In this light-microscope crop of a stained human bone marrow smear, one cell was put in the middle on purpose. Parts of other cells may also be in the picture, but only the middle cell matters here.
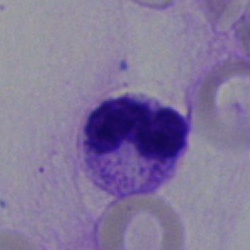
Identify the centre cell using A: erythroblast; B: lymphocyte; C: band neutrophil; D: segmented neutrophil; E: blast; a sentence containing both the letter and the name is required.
The best answer is option D, since the cell in the middle is a segmented neutrophil.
